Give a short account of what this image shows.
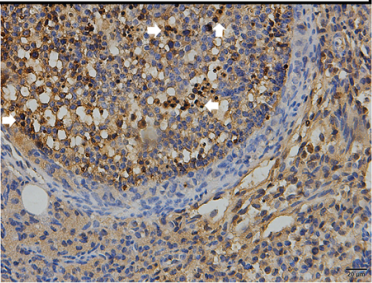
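A large follicle packed with small granulosa cells, many with dark brown nuclei, interspersed with pale vacuolated spaces. Flattened stromal cells with mostly blue nuclei surround the follicle.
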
